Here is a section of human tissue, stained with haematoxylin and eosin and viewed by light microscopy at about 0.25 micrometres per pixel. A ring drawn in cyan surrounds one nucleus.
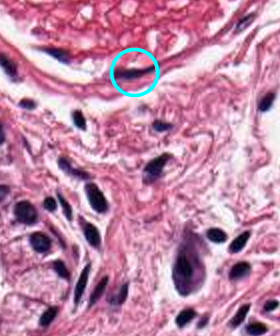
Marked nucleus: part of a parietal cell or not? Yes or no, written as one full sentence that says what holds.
No, as for the marked nucleus, it belongs to a supporting cell and not to a parietal cell.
